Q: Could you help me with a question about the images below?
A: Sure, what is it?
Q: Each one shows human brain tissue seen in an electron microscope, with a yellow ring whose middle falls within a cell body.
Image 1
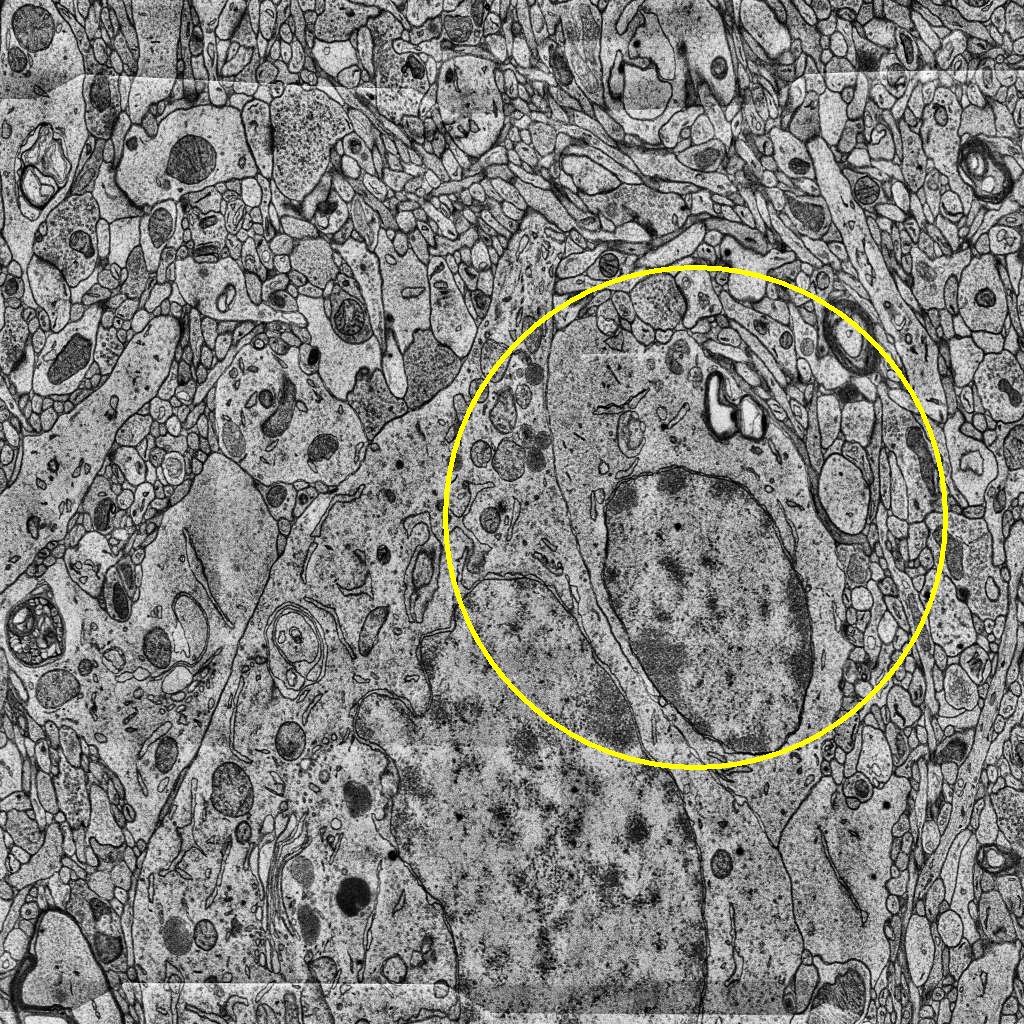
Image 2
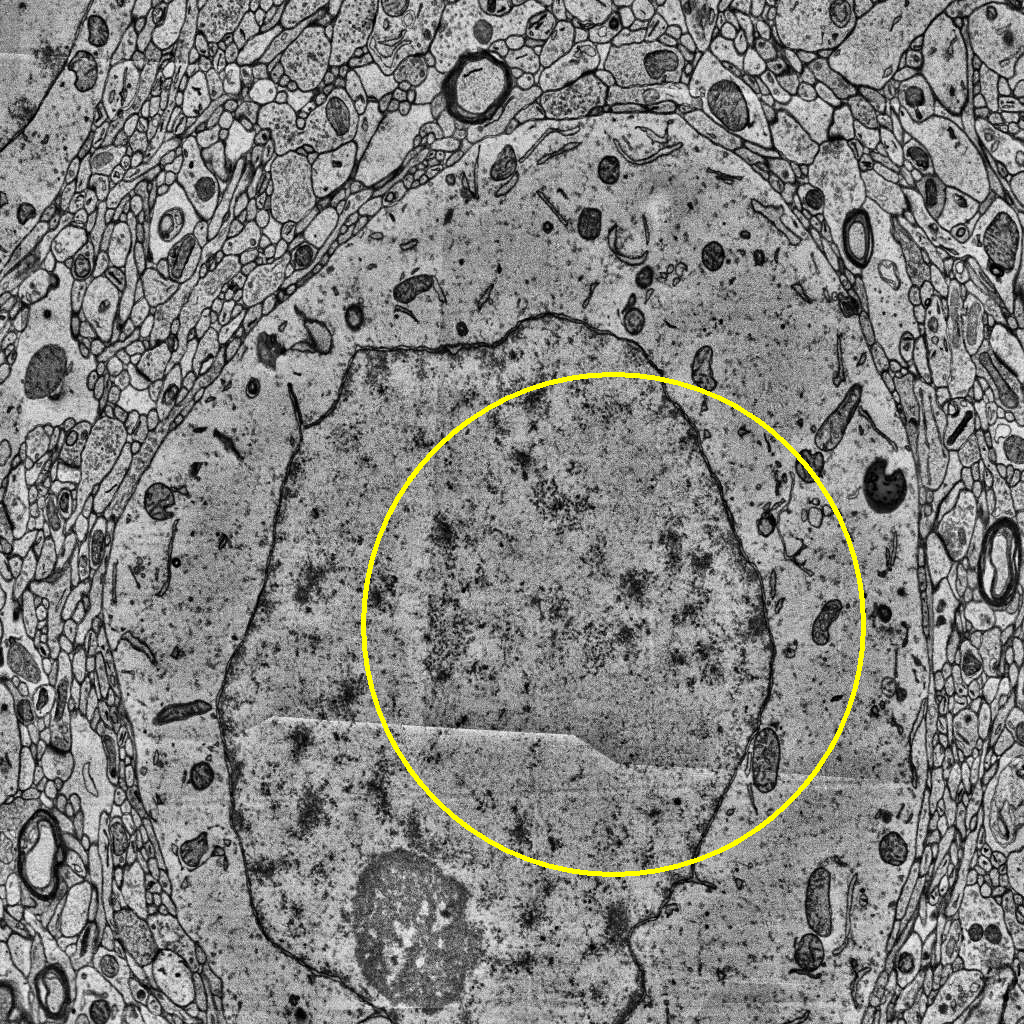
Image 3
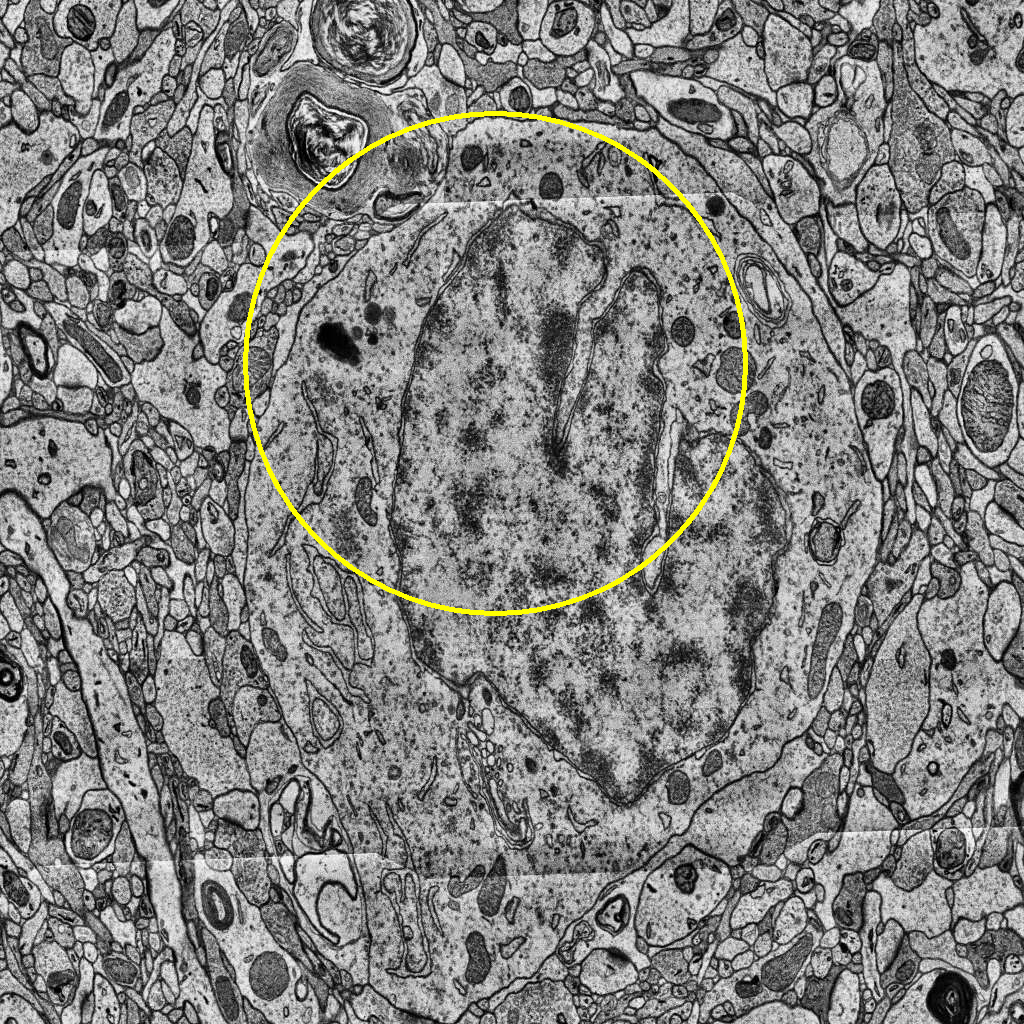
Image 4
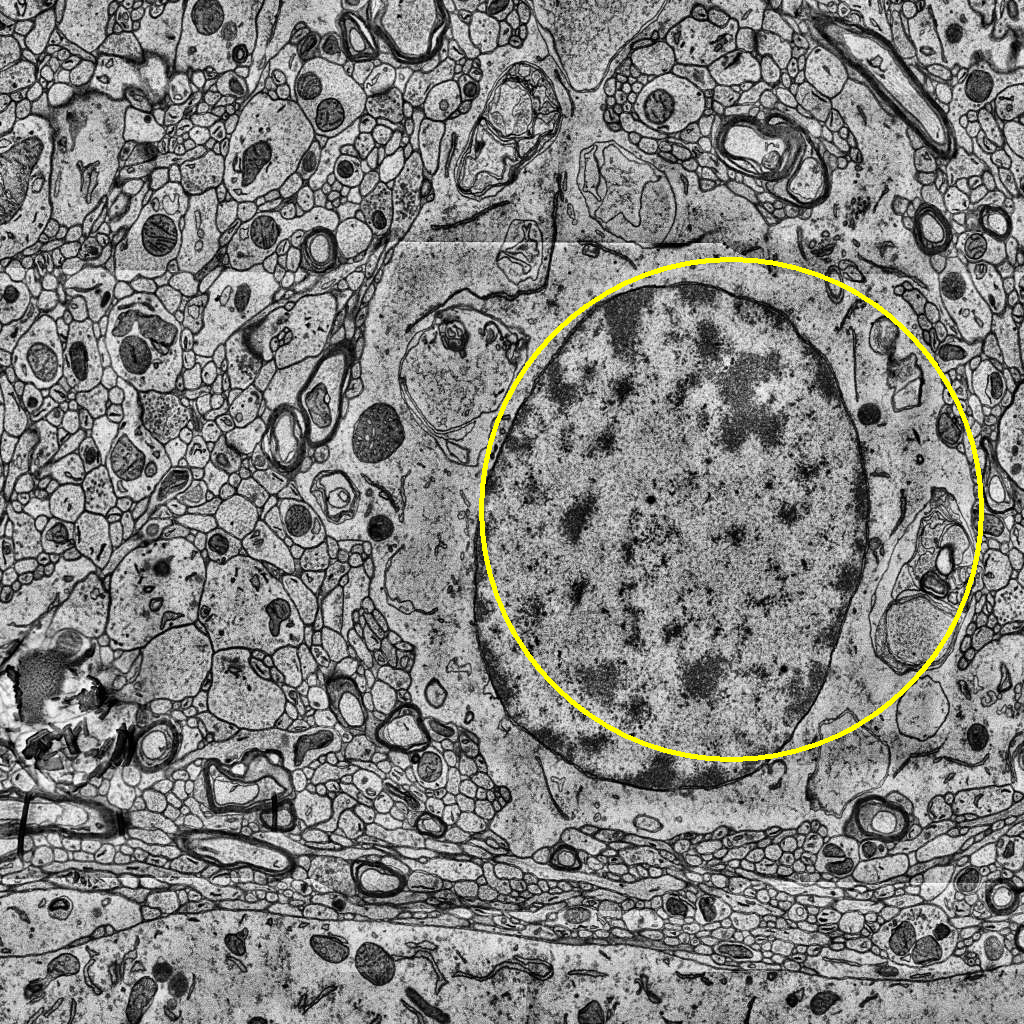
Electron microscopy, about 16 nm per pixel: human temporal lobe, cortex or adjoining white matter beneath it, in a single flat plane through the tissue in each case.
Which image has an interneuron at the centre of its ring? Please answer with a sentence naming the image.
Image 3 has it at the centre of its ring.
